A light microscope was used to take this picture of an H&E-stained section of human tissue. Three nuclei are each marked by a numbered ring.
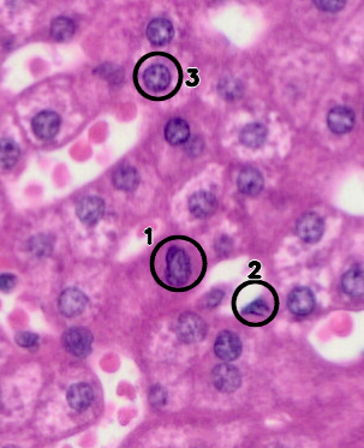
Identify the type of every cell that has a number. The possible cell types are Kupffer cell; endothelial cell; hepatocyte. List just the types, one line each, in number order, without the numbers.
hepatocyte
endothelial cell
hepatocyte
